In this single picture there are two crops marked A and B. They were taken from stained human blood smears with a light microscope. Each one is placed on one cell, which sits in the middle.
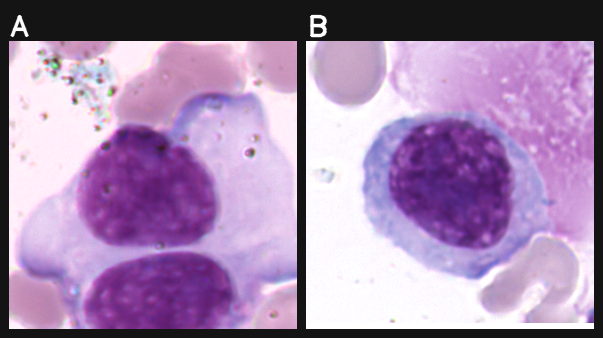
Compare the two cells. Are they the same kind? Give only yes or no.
yes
